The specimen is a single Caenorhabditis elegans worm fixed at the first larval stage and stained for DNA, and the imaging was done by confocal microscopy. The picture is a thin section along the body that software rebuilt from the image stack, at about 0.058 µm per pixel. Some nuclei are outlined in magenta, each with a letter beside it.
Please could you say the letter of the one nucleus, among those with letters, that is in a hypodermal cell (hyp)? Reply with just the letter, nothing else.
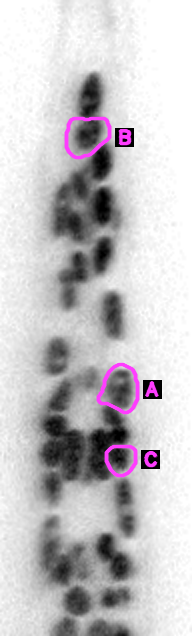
B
